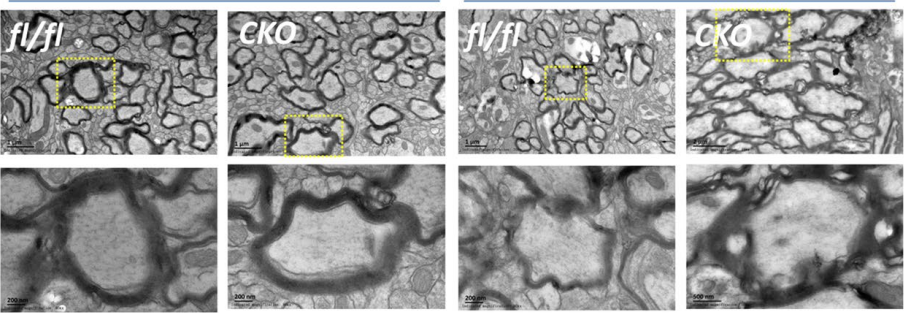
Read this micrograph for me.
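White matter in cross-section, made up of many axons of different calibres, each surrounded by a dark, electron-dense myelin sheath around pale axoplasm. The fibres lie closely packed, with a little grey neuropil between them. The enlarged views show single axons whose sheaths are layered dark bands around a pale core. In some micrographs the sheaths look thin, wavy or loosened, with pale spaces between fibres.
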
